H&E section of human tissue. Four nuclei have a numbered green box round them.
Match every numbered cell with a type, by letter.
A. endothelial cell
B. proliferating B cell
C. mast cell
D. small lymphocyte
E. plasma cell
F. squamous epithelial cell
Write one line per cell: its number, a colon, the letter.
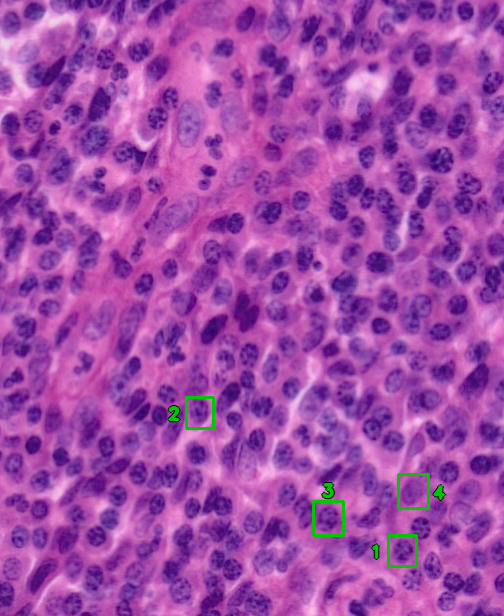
1: E
2: E
3: E
4: F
